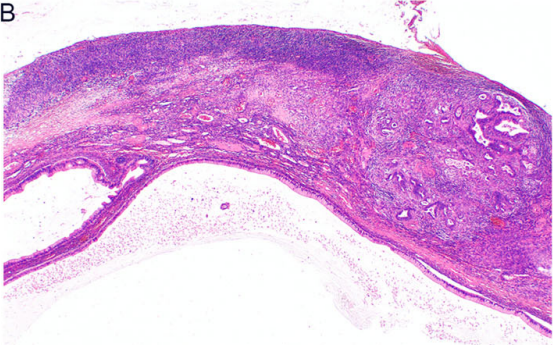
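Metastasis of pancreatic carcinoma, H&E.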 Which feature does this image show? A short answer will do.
A nodule of infiltrative growth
